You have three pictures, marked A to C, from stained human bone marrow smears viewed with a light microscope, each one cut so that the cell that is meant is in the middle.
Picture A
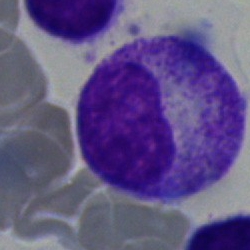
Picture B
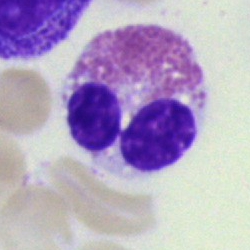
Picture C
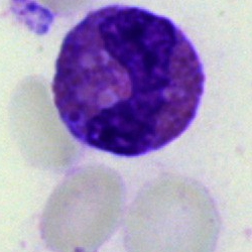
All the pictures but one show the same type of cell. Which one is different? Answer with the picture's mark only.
A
